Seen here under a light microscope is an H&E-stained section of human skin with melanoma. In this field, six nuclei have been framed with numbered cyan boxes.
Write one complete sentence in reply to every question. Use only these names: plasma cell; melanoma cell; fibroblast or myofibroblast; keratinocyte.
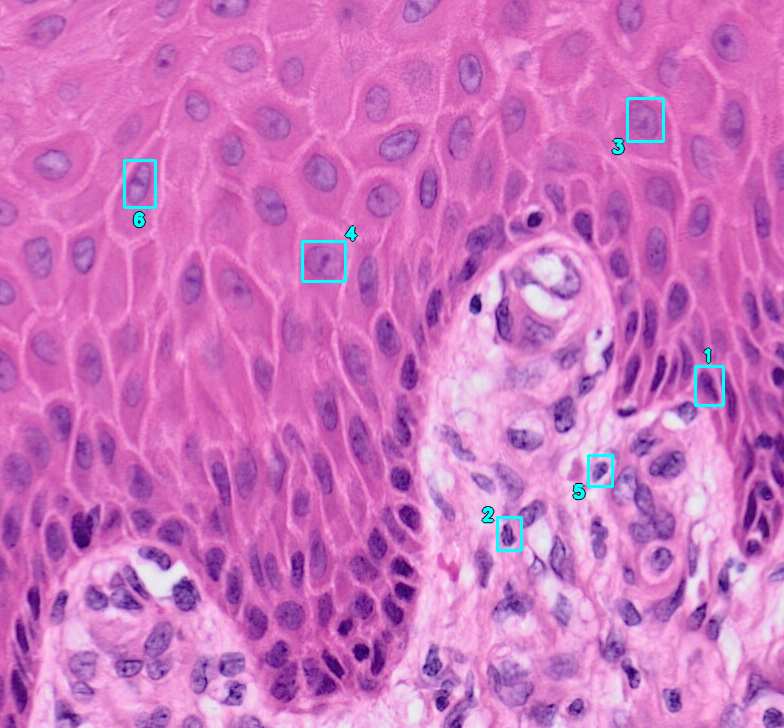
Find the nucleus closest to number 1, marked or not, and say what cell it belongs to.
The cell nearest to number 1 is a keratinocyte.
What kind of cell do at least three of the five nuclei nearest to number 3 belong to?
Keratinocytes account for more than half of the five nuclei nearest to number 3.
